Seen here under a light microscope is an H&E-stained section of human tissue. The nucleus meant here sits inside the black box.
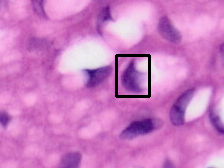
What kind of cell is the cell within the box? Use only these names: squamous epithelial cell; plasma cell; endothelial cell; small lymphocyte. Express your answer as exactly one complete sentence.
Among the cells in this section, the cell within the box is a squamous epithelial cell.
